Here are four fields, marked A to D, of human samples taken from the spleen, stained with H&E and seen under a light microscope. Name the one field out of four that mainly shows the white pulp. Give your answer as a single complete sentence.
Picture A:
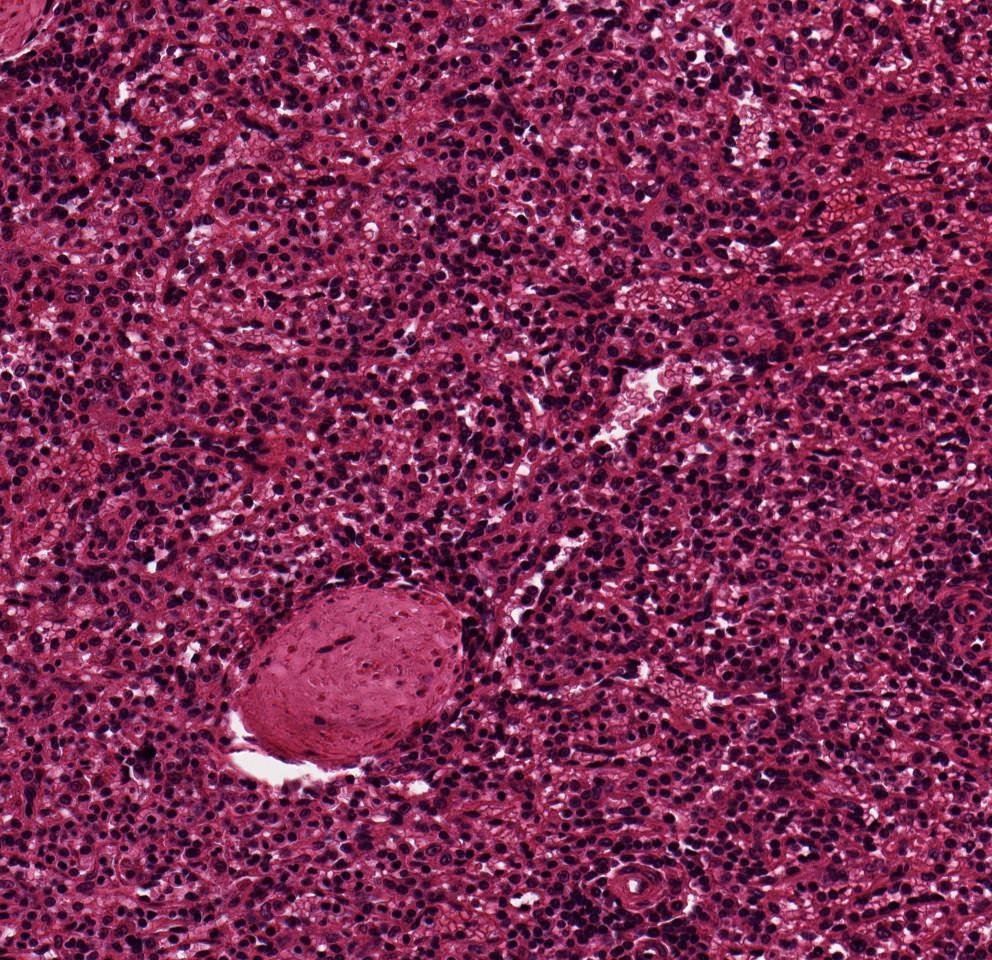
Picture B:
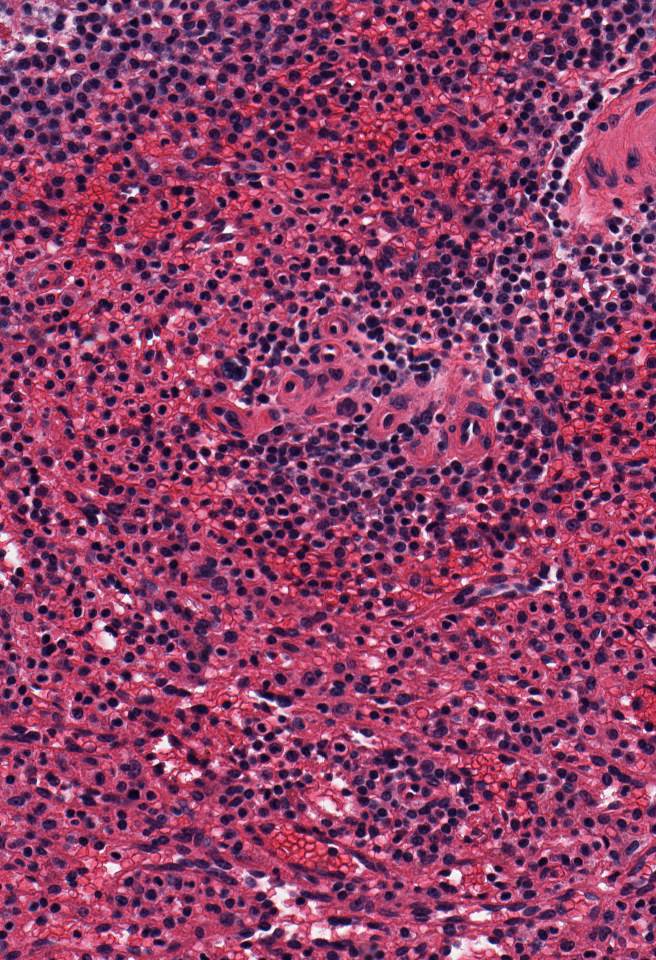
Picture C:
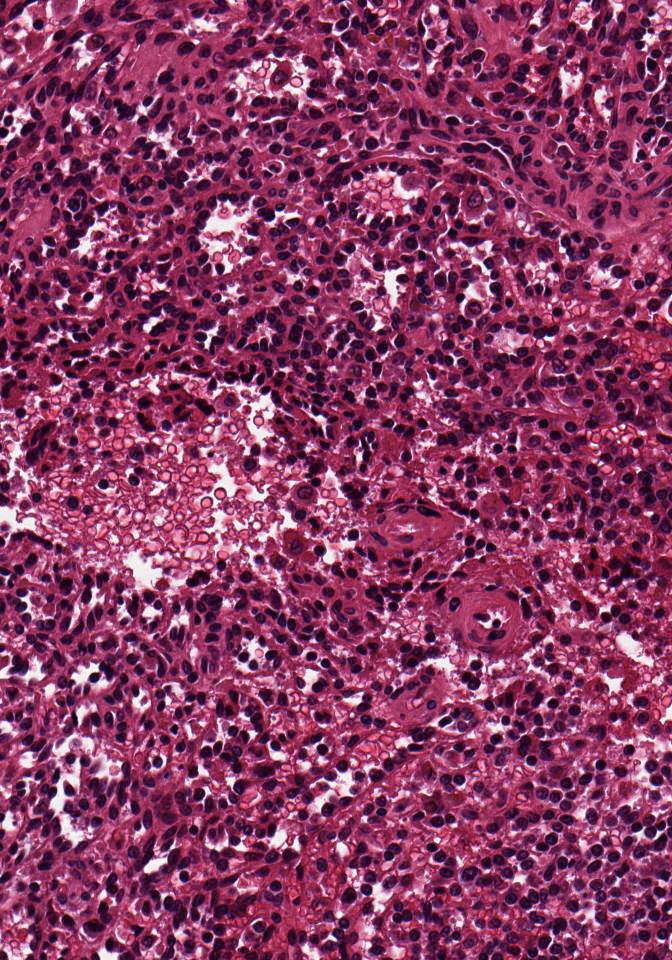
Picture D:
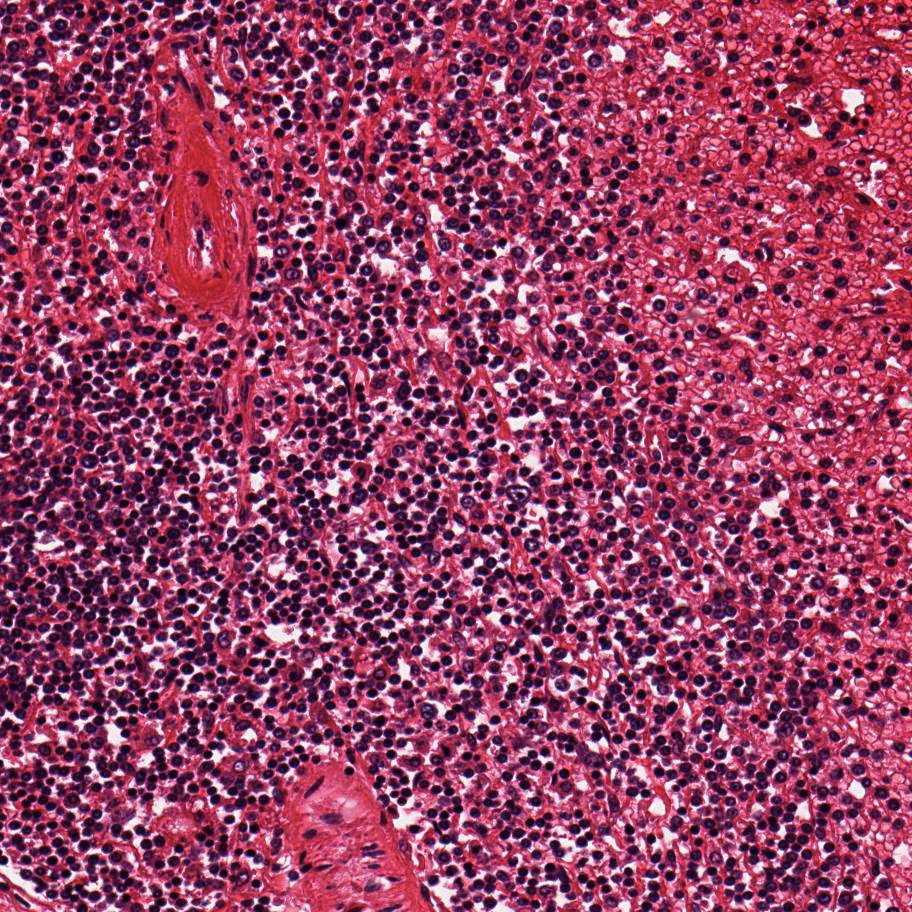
Picture D is the field that mainly shows the white pulp.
